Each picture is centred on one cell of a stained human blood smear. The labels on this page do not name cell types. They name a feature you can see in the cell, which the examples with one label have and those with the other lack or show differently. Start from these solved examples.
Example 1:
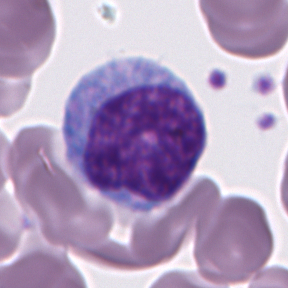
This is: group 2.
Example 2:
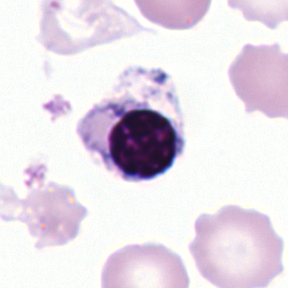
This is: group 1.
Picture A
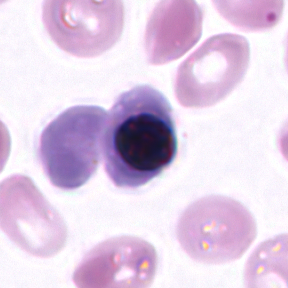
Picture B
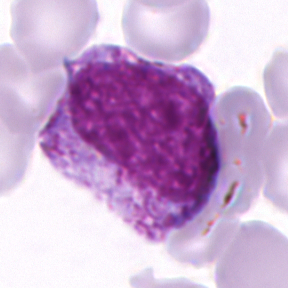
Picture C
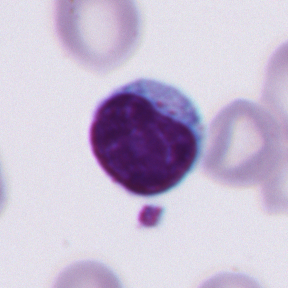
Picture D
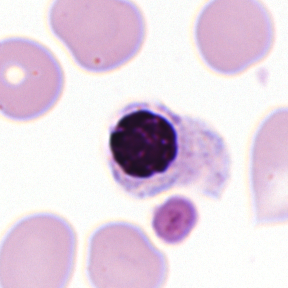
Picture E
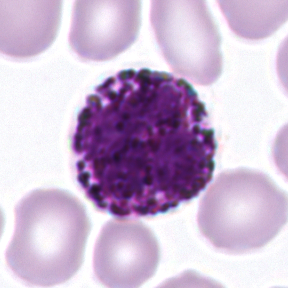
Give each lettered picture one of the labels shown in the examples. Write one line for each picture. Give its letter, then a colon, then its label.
A: group 2.
B: group 1.
C: group 2.
D: group 1.
E: group 1.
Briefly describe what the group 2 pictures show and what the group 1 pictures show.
Seen in group 2: smooth outline; seen in group 1: ragged outline or projections.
